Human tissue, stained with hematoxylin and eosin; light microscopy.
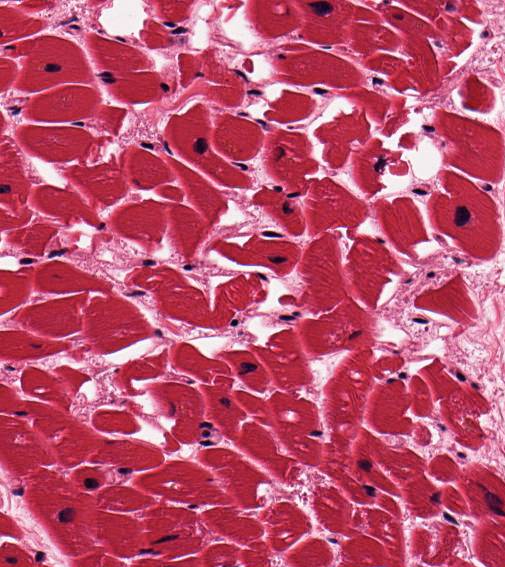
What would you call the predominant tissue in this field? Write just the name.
myocardium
